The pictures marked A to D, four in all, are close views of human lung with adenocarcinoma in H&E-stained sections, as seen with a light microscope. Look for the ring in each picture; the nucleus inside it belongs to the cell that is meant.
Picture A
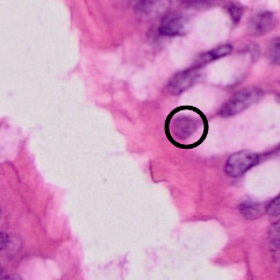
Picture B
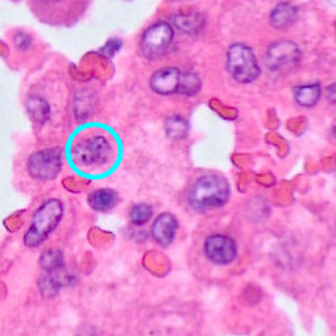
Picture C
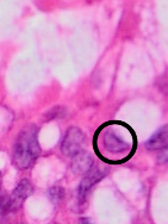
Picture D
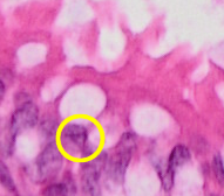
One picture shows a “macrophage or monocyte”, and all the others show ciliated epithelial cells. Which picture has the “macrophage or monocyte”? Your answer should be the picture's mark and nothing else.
B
